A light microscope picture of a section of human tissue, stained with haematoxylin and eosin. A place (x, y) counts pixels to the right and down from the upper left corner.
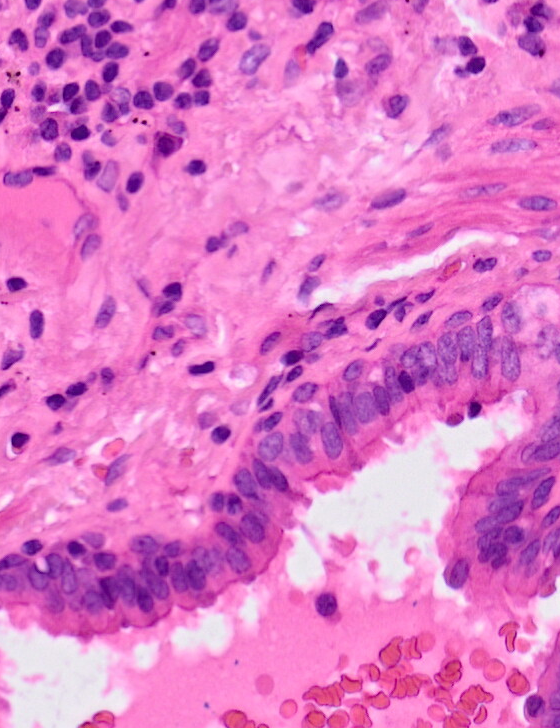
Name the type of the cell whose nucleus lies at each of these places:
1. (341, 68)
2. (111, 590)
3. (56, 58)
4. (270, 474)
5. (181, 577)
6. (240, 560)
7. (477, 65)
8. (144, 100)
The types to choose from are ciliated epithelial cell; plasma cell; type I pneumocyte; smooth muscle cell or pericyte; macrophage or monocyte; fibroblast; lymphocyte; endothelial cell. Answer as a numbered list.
1. lymphocyte
2. ciliated epithelial cell
3. lymphocyte
4. ciliated epithelial cell
5. ciliated epithelial cell
6. ciliated epithelial cell
7. lymphocyte
8. lymphocyte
